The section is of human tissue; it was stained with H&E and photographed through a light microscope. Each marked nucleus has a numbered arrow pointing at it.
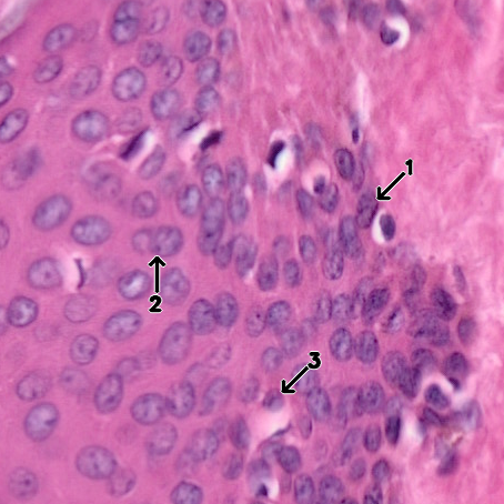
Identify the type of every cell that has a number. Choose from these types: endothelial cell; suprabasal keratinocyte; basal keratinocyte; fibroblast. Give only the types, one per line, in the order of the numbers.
basal keratinocyte
suprabasal keratinocyte
basal keratinocyte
